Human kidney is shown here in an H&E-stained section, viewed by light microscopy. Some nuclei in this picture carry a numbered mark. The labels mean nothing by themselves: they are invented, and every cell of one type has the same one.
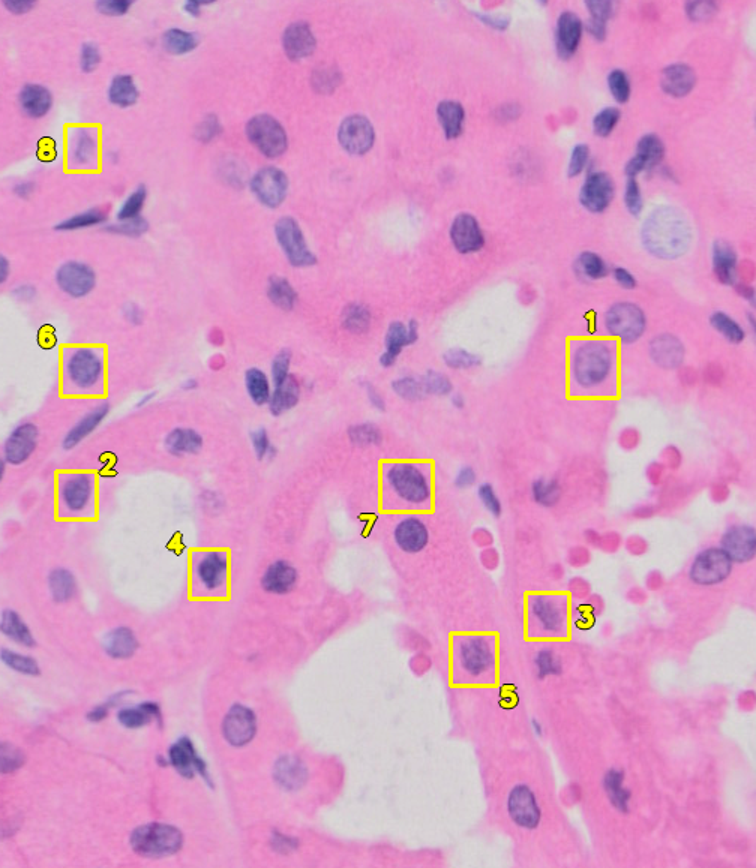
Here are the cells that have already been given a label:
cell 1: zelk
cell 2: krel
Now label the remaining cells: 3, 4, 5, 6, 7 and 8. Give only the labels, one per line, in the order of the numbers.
zelk
krel
zelk
krel
zelk
krel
